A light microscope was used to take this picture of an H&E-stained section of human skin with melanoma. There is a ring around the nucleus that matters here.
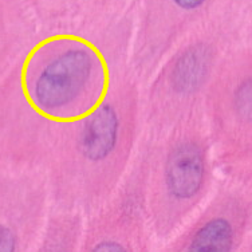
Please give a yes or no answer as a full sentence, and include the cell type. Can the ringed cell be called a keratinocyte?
Yes, the ringed cell in this section represents a keratinocyte.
